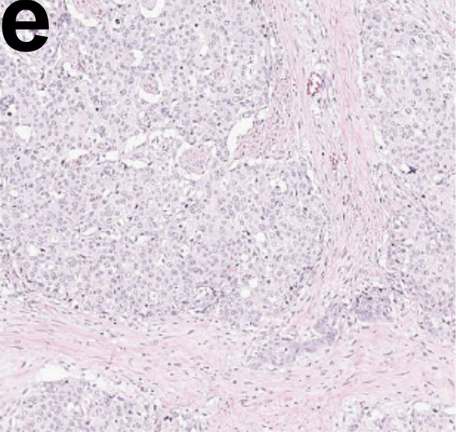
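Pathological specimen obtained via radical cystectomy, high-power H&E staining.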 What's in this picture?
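Dense sheets of closely packed, round to polygonal tumor cells are crossed by bands of pale pink fibrous stroma. One band runs diagonally in the upper right, and a wider band runs along the lower part of the field. The tumor cells have round, purple-staining nuclei and a moderate amount of pale pink cytoplasm. A small vessel holding red blood cells sits within the upper stromal band.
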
